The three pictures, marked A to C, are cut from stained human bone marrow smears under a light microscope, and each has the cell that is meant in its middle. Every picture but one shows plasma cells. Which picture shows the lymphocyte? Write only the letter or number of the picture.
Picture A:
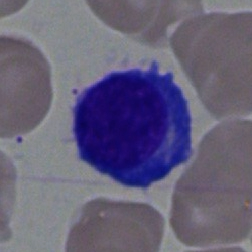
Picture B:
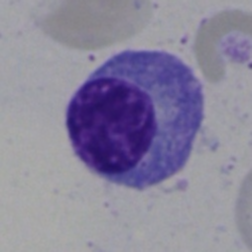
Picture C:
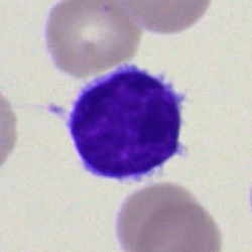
C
